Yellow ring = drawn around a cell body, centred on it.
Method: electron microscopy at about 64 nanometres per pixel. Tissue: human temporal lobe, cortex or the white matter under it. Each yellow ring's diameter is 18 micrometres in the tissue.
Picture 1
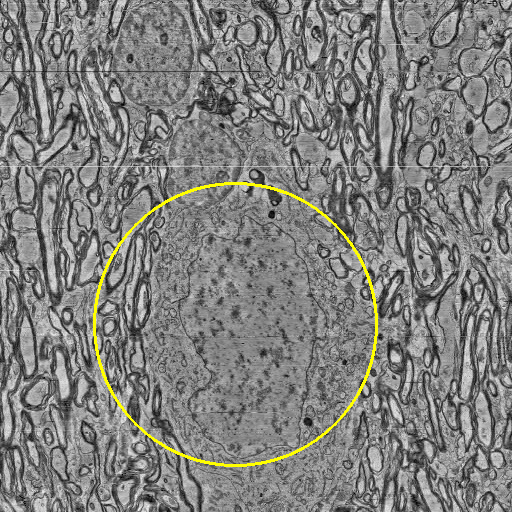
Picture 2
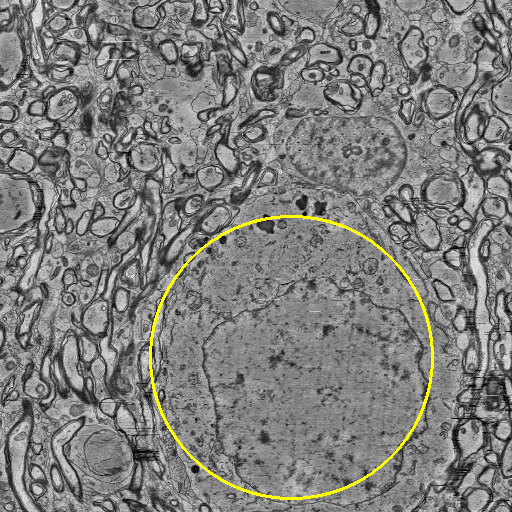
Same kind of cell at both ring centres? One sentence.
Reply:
Yes, they are the same kind of cell.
